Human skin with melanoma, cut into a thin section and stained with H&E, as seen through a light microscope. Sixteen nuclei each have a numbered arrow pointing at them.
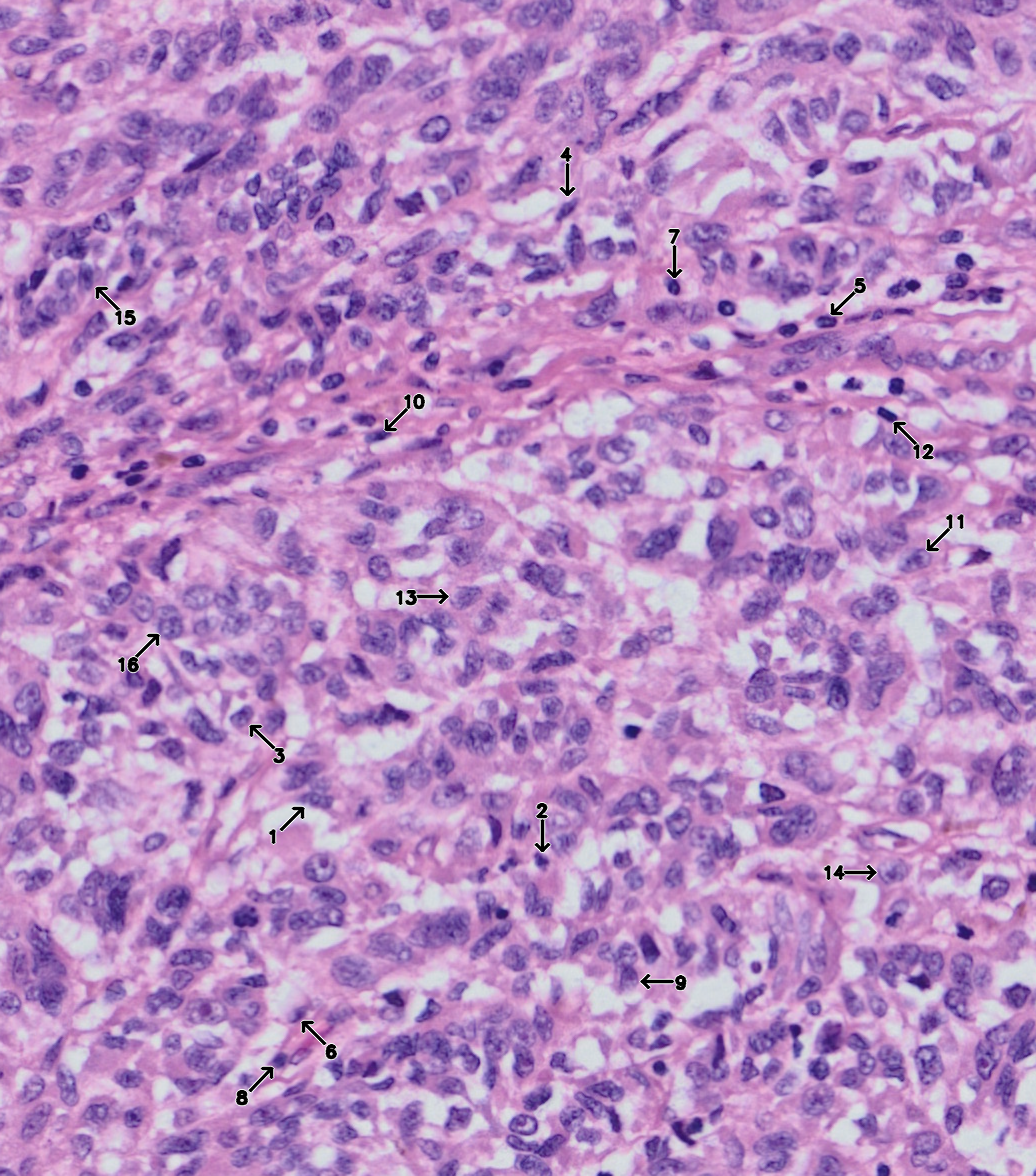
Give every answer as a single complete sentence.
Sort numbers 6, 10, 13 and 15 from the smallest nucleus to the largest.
By area, going up from the smallest, they rank 6, 10, 15, 13.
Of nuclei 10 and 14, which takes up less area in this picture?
Nucleus 10 is the smaller one; nucleus 14 covers about 2 times its area.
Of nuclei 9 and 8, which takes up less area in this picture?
Number 8 is smaller, since number 9 takes up about 1.5 times as much area.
